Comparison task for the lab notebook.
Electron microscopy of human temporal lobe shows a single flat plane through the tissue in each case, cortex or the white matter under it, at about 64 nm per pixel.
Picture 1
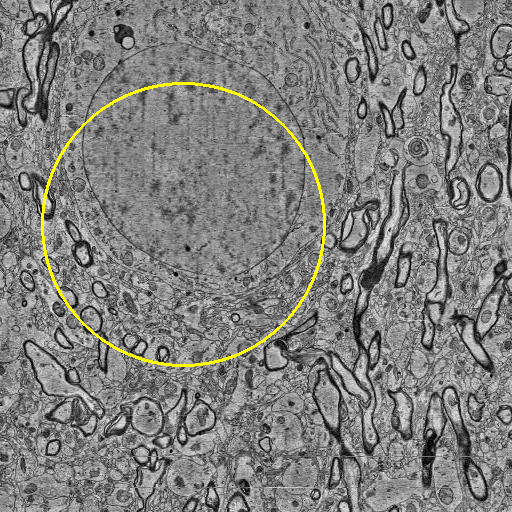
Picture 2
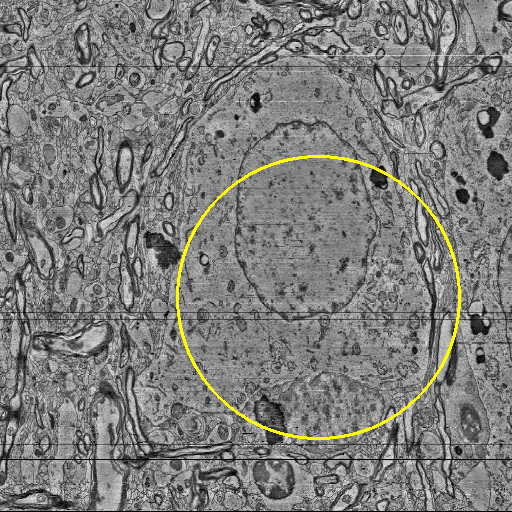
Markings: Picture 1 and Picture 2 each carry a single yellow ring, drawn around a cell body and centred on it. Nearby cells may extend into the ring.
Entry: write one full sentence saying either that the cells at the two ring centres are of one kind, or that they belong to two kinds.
The cells sitting at the ring centres in Picture 1 and Picture 2 are of one kind.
